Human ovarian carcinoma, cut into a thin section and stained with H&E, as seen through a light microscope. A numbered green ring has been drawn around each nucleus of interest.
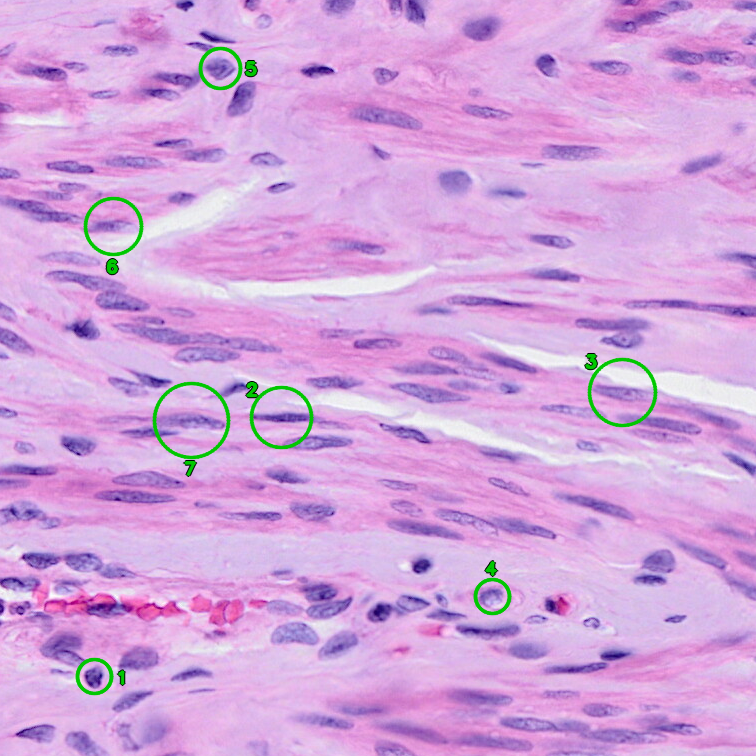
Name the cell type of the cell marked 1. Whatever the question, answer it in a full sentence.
The nucleus labeled 1 belongs to a lymphocyte.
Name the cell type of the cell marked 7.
In this section, the cell tagged 7 is a smooth muscle cell.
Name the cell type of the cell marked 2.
Cell 2 in the field is a smooth muscle cell.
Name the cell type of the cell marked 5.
The cell indicated with the number 5 is classed as a fibroblast.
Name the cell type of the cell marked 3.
Belonging to a smooth muscle cell is the nucleus that carries the number 3.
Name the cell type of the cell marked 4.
Cell 4 is classified as an endothelial cell.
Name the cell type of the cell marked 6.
Among the marked nuclei, number 6 belongs to a smooth muscle cell.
